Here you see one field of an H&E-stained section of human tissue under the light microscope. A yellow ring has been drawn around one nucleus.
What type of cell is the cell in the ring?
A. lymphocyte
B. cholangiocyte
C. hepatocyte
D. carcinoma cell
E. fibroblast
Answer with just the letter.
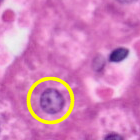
C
